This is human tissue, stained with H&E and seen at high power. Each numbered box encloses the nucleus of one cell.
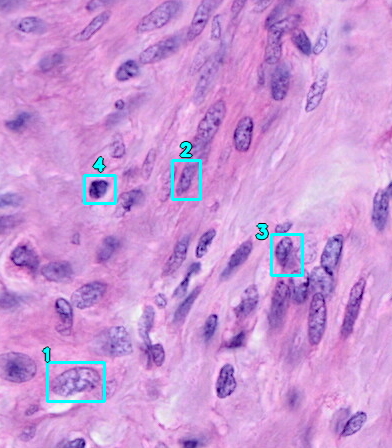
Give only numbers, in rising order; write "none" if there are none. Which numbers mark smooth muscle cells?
2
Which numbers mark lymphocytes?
4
